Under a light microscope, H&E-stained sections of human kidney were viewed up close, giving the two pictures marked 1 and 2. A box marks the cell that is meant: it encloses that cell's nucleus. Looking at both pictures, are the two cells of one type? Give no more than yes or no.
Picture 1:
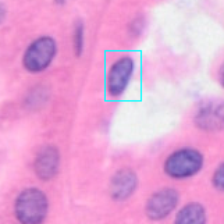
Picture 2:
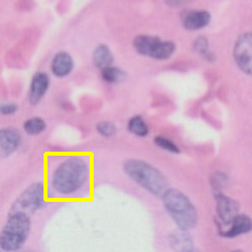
no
